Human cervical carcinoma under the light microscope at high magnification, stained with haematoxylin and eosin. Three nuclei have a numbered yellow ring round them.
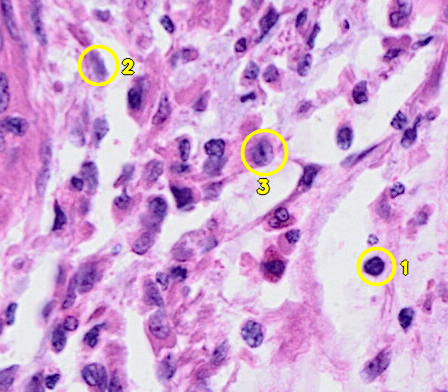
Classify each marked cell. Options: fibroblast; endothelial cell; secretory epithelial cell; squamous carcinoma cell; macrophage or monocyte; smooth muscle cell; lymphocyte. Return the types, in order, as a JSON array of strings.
["lymphocyte", "fibroblast", "macrophage or monocyte"]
